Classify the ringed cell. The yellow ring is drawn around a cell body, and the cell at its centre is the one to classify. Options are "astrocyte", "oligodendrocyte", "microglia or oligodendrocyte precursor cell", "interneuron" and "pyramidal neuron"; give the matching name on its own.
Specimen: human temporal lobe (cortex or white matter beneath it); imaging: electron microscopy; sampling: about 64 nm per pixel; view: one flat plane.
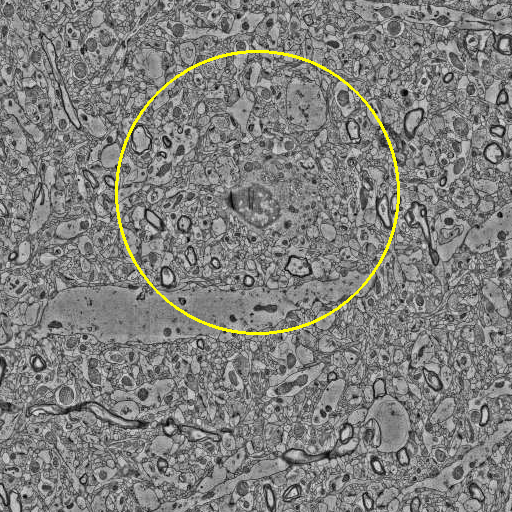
oligodendrocyte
